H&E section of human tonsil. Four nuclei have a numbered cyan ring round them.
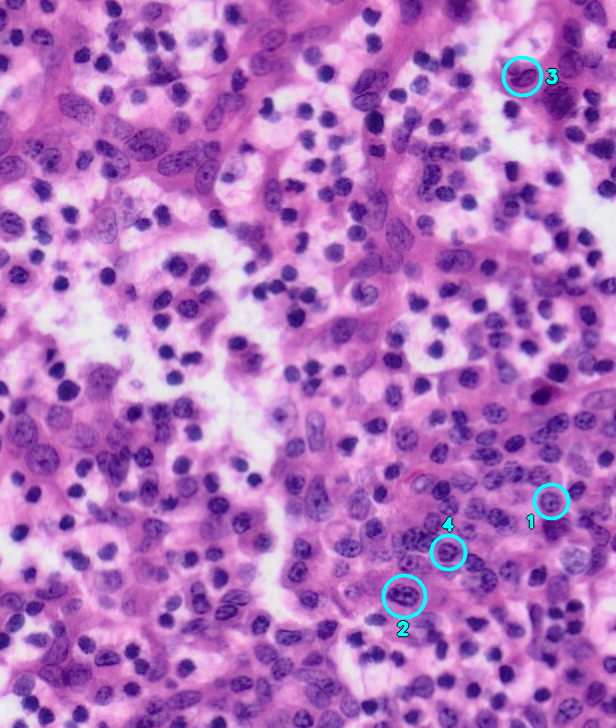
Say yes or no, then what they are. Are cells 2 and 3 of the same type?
No, cell 2 is a plasma cell; cell 3, by contrast, is a squamous epithelial cell.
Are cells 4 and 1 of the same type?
Yes, cells 4 and 1 both count as plasma cells.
